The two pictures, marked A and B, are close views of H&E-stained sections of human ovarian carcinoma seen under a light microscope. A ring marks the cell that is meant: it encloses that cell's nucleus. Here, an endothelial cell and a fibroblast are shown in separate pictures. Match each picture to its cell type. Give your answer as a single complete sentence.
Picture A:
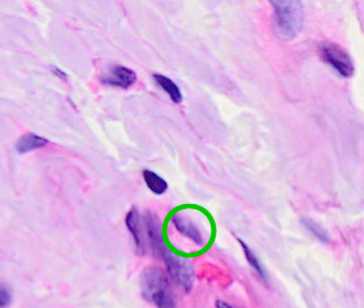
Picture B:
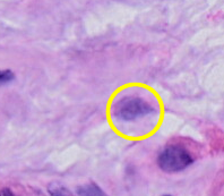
Picture A shows an endothelial cell and picture B shows a fibroblast.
